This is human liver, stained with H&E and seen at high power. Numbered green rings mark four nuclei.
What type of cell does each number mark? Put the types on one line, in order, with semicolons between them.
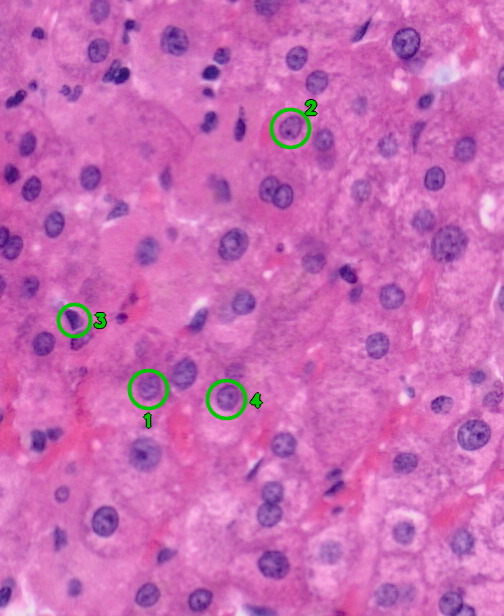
hepatocyte; hepatocyte; fibroblast or stellate cell; hepatocyte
